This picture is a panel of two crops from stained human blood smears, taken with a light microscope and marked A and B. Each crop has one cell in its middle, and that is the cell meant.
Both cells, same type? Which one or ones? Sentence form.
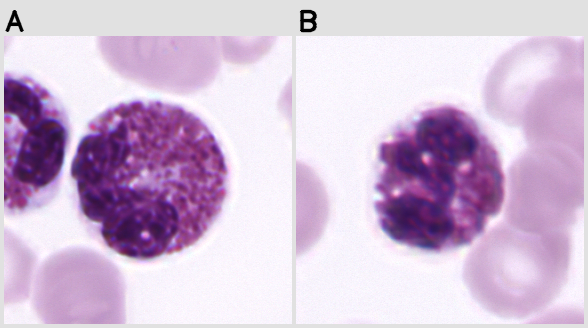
Yes, both crops contain eosinophils at their centres.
